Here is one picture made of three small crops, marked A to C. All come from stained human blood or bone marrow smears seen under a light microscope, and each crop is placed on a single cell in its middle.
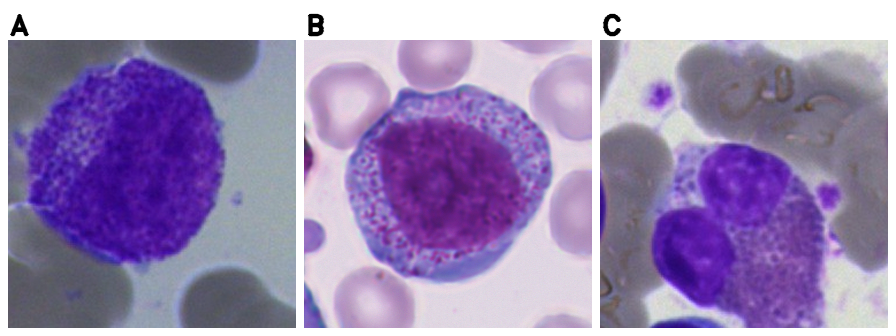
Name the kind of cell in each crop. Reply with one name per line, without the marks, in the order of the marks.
myelocyte
promyelocyte
eosinophil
